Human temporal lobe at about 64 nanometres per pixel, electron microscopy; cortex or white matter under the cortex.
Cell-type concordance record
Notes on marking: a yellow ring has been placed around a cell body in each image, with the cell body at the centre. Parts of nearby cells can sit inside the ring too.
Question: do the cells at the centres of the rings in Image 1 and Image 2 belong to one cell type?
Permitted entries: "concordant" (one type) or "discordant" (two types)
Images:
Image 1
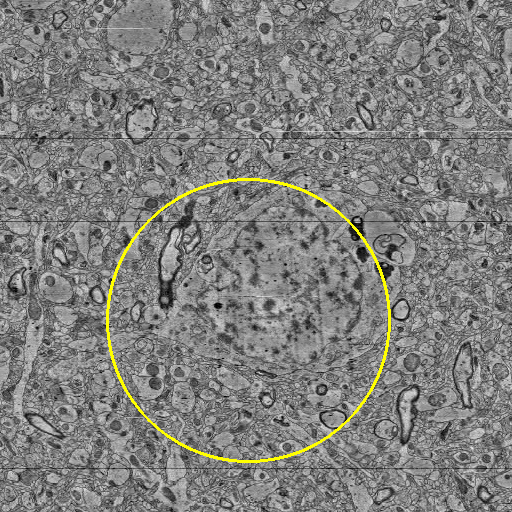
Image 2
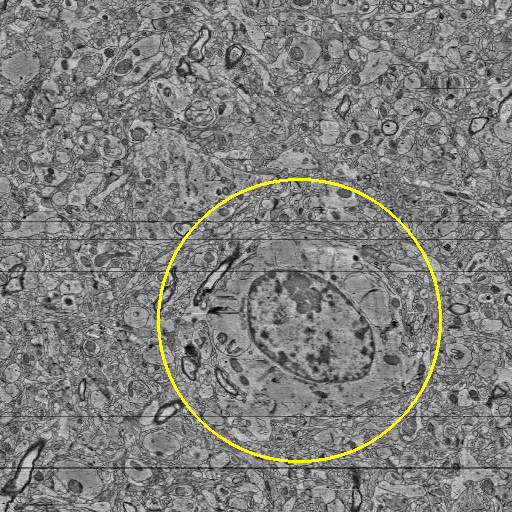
discordant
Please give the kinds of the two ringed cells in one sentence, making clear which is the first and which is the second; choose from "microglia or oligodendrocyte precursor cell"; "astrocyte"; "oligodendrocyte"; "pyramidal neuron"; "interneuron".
In the second picture the ringed cell is an astrocyte; in the first it is an interneuron.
